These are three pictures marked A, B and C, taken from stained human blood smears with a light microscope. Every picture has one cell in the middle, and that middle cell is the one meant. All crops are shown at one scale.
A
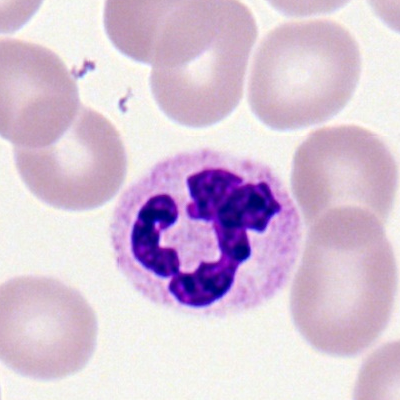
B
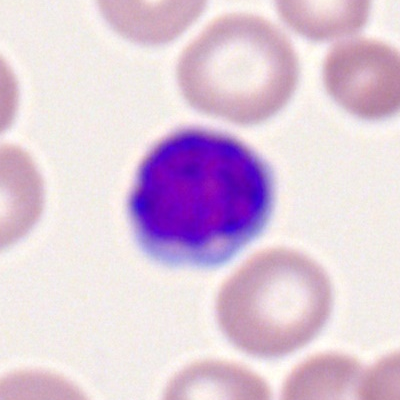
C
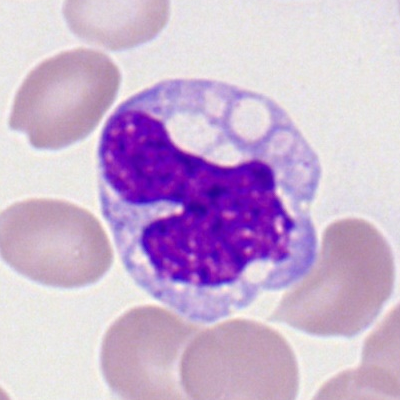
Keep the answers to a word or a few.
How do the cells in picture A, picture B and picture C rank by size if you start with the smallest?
B, A, C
